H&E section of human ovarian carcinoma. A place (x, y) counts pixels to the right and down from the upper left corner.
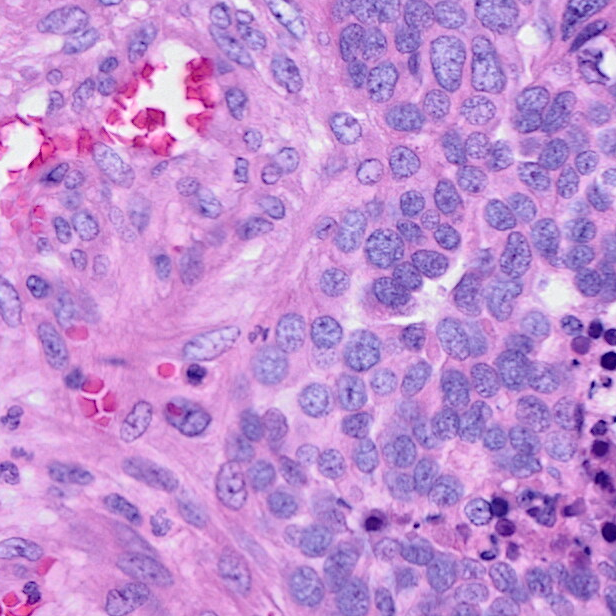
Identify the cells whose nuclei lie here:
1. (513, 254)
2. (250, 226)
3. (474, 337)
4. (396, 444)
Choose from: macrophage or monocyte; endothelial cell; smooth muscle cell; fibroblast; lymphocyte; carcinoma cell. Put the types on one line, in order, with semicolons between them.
carcinoma cell; fibroblast; carcinoma cell; carcinoma cell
